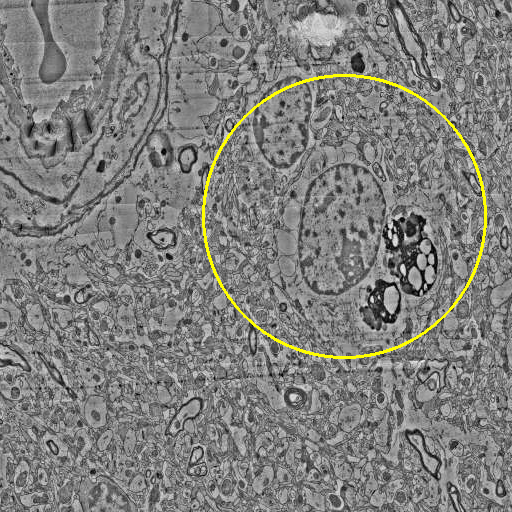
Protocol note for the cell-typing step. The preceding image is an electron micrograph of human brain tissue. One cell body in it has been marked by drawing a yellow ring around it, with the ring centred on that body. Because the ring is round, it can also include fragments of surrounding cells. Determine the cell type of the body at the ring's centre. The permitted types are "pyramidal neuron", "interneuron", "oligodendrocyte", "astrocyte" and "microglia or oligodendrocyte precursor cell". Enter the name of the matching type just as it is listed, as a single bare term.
astrocyte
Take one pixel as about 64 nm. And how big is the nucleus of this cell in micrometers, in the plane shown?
Roughly 8 by 6 micrometres in this plane, for the nucleus of the ringed cell.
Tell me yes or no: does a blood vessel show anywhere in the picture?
Yes, there is a blood vessel.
